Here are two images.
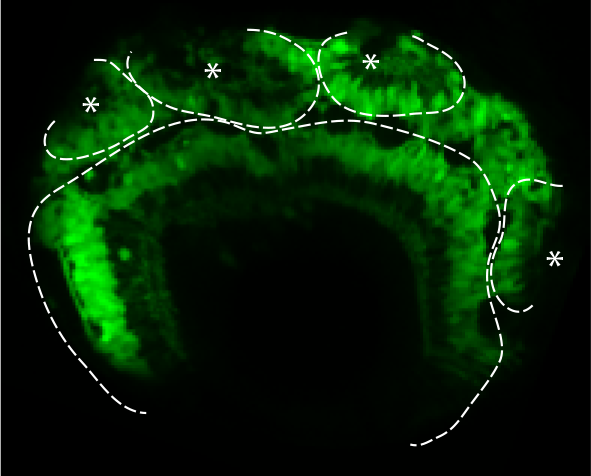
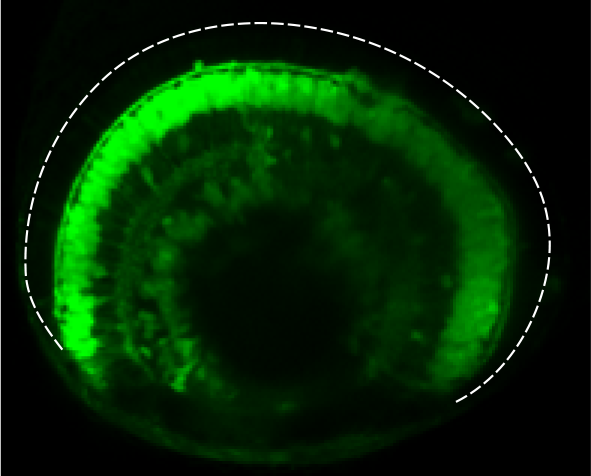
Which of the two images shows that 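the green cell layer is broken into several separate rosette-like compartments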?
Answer: the first image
